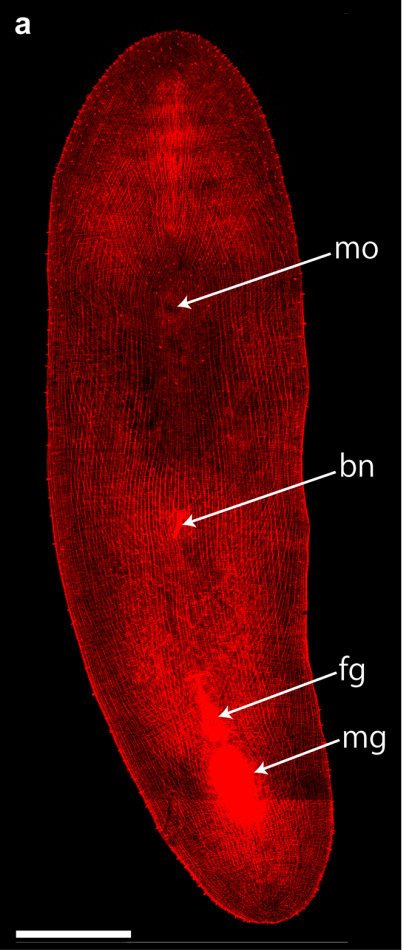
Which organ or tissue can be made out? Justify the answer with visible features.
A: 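A fine regular lattice of thin red fibers covers the whole flat body. Fibers run lengthwise and crosswise over the entire outline of the worm. That points to this answer: body-wall musculature.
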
